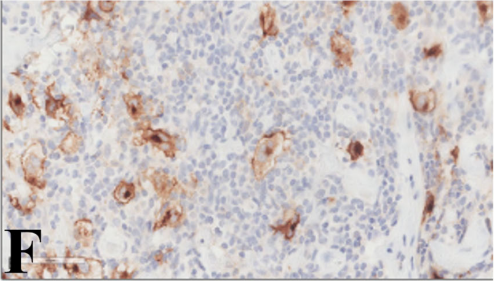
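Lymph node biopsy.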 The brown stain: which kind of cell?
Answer: Large cells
